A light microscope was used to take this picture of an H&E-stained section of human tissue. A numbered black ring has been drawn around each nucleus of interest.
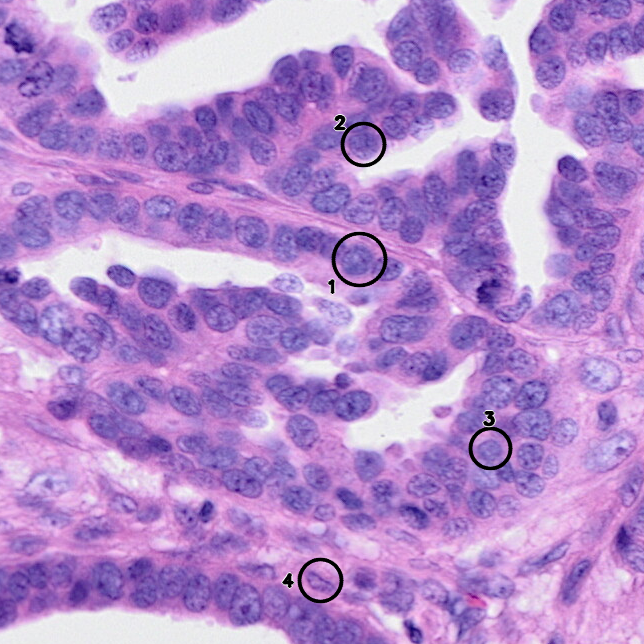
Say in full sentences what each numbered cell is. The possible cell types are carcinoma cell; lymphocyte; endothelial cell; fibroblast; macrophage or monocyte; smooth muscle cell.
Cells 1, 2 and 3 are carcinoma cells. Cell 4 is a macrophage or monocyte.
